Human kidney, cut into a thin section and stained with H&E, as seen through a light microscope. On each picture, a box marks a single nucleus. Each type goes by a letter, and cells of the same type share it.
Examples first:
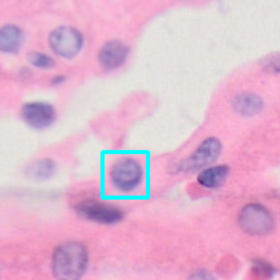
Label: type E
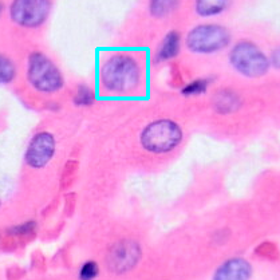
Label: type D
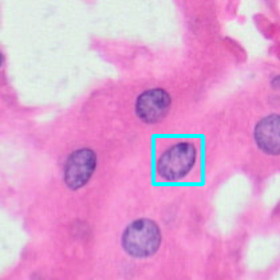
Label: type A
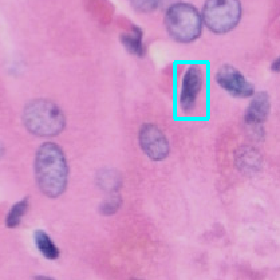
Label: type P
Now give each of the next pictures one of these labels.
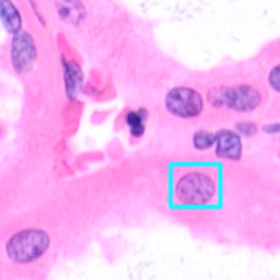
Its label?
type A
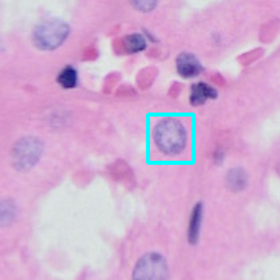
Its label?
type A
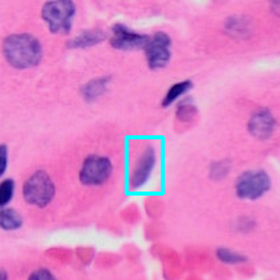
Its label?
type P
